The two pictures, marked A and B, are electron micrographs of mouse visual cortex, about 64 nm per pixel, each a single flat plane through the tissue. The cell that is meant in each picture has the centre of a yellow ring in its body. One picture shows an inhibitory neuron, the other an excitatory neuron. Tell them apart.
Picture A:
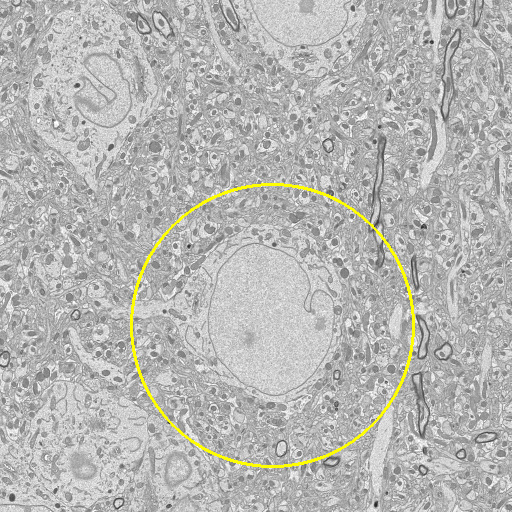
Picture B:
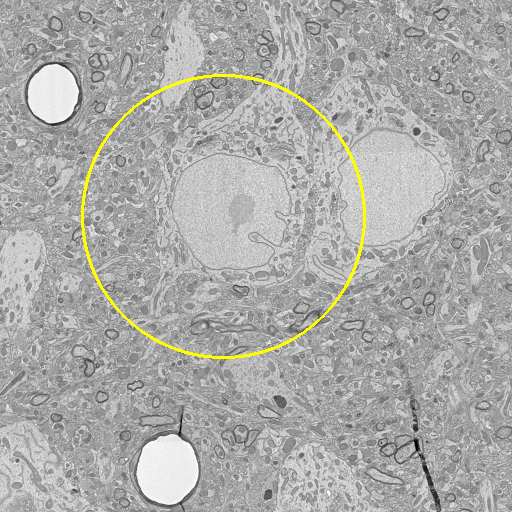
It is picture A that shows an excitatory neuron, and picture B that shows an inhibitory neuron.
